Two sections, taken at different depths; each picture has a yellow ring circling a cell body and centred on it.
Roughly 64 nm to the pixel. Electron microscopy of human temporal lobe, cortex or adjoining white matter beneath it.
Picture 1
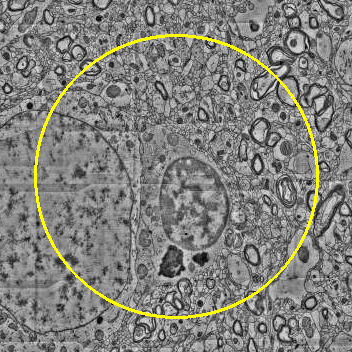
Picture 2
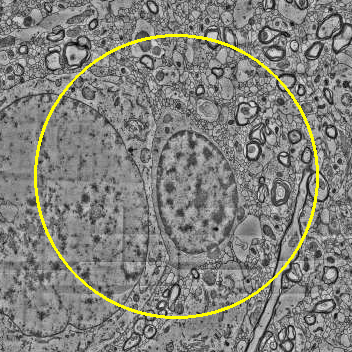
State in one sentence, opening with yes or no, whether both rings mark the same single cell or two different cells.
Yes, one cell accounts for both of the yellow rings.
